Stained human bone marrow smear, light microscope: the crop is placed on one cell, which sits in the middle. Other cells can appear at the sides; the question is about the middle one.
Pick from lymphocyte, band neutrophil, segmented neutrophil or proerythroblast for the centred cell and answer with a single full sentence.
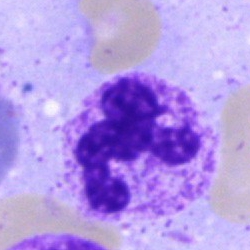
Framed in the middle of the crop is a segmented neutrophil.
